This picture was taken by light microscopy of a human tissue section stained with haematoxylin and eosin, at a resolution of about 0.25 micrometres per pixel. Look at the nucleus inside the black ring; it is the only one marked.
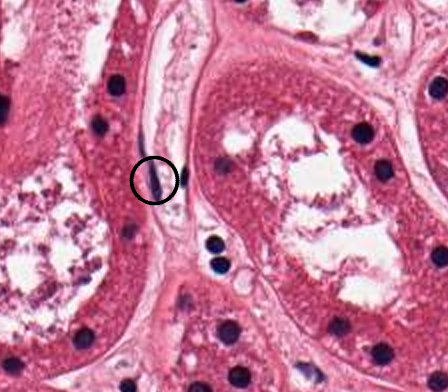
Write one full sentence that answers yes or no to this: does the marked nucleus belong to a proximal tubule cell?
No, for the marked nucleus, the owning cell is a supporting cell, not a proximal tubule cell.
